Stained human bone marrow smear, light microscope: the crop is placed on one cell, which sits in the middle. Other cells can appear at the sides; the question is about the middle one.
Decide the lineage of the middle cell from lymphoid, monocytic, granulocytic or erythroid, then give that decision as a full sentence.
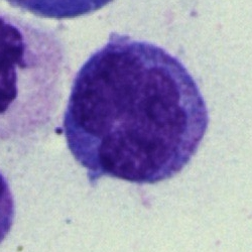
Within the monocytic lineage lies the cell at the center of the crop.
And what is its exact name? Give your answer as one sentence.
The central cell shown in this smear crop is a monocyte.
